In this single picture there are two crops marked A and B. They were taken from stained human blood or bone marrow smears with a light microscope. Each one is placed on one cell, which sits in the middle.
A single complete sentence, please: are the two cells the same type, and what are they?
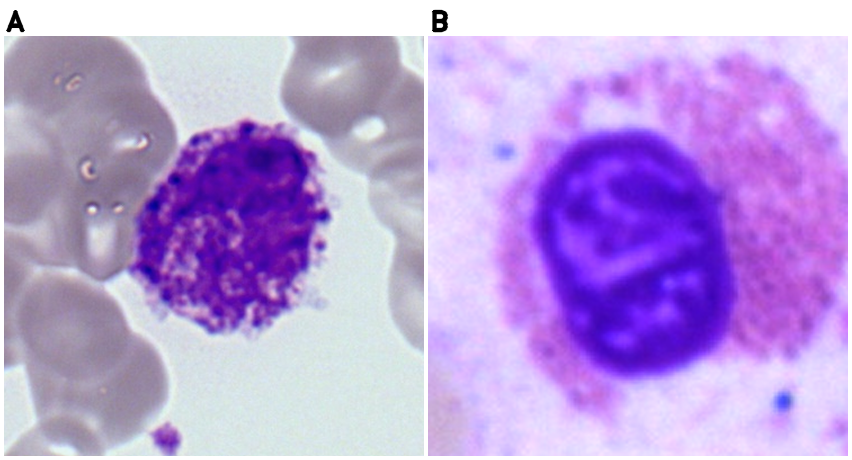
Yes, for both crops, the central cells are basophils.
